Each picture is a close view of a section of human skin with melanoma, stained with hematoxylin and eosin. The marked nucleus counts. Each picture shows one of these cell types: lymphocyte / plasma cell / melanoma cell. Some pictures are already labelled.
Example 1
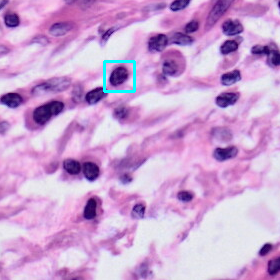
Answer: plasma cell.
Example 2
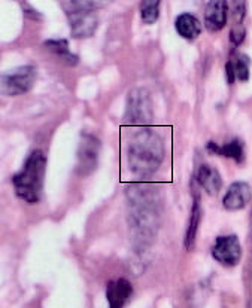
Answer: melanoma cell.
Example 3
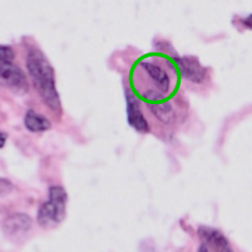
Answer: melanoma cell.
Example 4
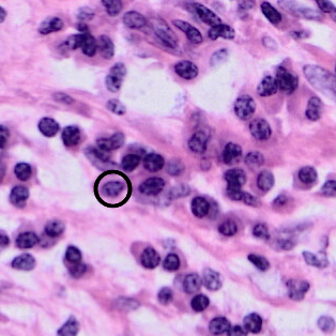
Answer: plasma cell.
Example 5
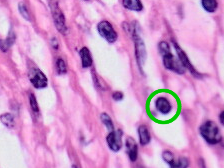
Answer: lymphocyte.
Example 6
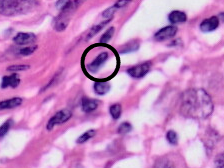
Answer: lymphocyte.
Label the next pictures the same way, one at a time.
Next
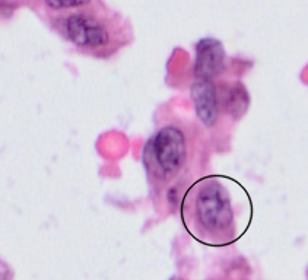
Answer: melanoma cell.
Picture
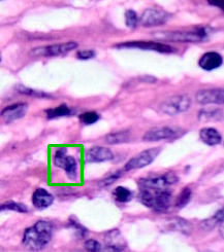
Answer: lymphocyte.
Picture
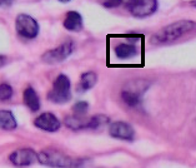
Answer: lymphocyte.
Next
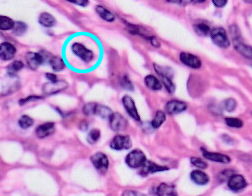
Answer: lymphocyte.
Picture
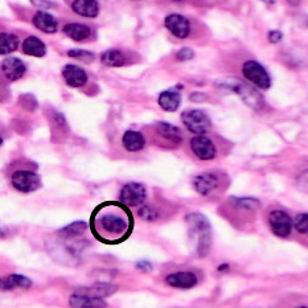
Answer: plasma cell.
